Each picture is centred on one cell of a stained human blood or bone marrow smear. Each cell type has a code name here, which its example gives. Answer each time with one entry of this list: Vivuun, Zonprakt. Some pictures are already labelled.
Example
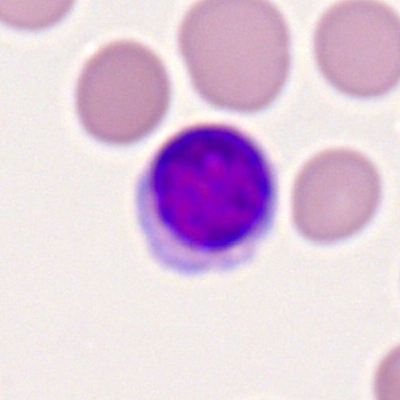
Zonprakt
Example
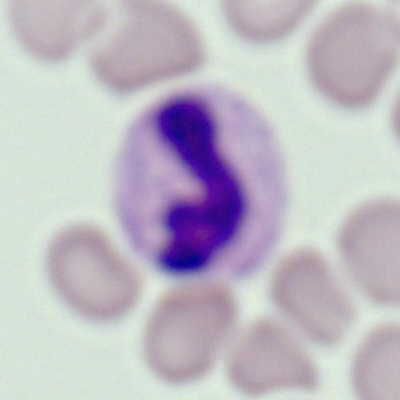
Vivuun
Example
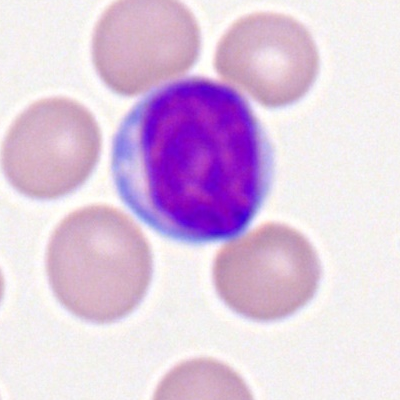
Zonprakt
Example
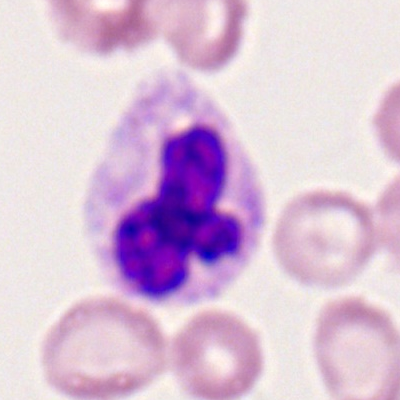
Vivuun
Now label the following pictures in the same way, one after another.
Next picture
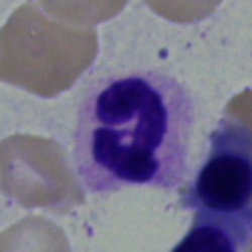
Vivuun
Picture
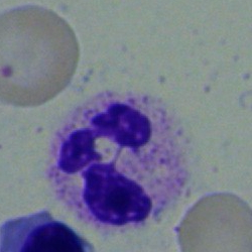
Vivuun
